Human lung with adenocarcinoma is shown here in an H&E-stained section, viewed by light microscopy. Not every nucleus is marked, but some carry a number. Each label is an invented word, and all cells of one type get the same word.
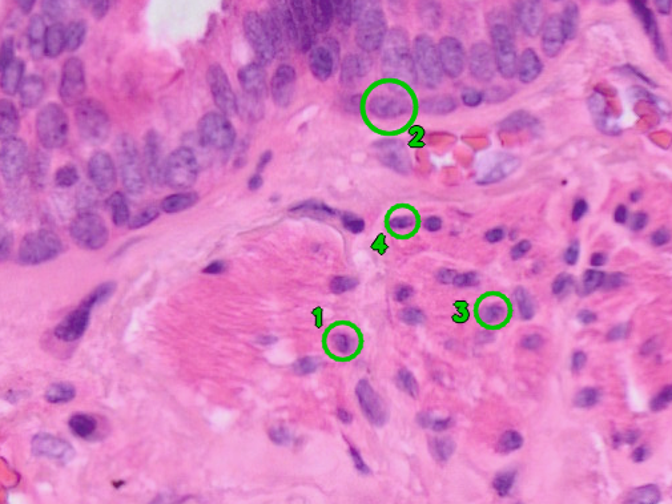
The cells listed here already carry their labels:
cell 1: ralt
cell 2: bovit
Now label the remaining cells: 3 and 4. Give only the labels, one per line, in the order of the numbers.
ralt
ralt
